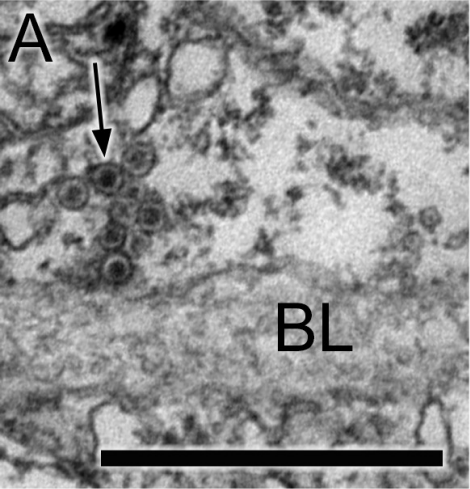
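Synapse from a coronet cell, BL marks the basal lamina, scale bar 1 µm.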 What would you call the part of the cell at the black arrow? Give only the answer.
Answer: Dense-core vesicles.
